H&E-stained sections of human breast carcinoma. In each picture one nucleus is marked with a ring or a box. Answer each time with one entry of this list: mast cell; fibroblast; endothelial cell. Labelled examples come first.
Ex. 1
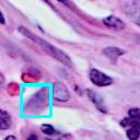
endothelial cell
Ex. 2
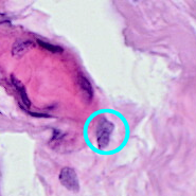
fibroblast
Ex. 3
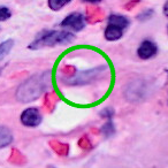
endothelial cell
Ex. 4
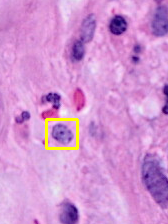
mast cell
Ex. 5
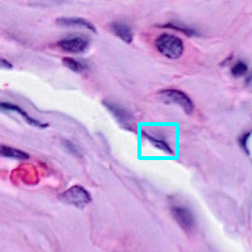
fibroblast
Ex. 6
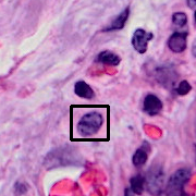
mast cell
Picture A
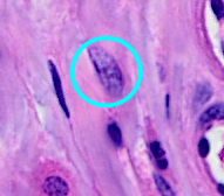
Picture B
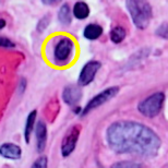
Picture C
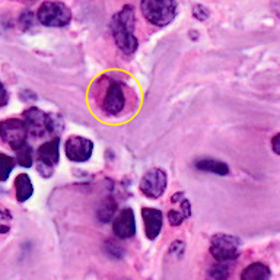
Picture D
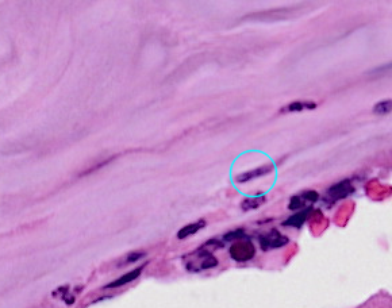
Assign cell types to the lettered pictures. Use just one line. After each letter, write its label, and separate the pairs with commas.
A fibroblast, B mast cell, C mast cell, D fibroblast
